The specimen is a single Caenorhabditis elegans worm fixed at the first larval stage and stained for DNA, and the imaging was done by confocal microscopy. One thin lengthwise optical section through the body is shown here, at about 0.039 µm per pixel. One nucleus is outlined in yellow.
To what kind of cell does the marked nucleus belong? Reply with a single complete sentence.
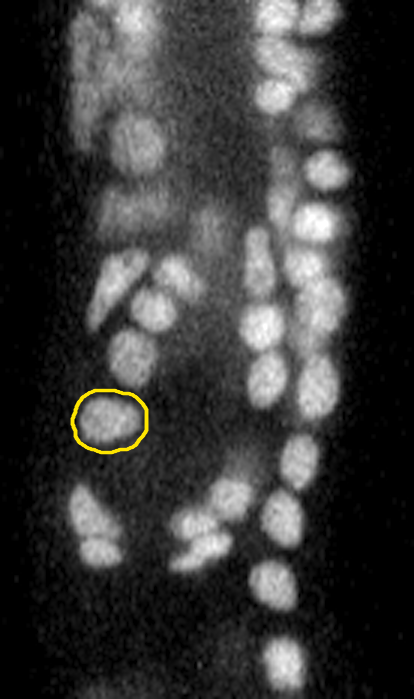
This is the nucleus of a pharyngeal muscle cell.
